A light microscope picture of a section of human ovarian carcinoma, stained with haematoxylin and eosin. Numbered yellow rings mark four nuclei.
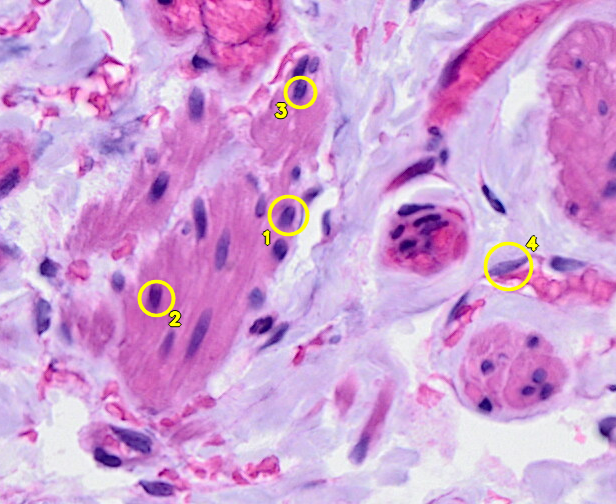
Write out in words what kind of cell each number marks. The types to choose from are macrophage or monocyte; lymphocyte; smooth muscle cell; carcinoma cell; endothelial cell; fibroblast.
Cells 1, 2 and 3 are smooth muscle cells. Cell 4 is an endothelial cell.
